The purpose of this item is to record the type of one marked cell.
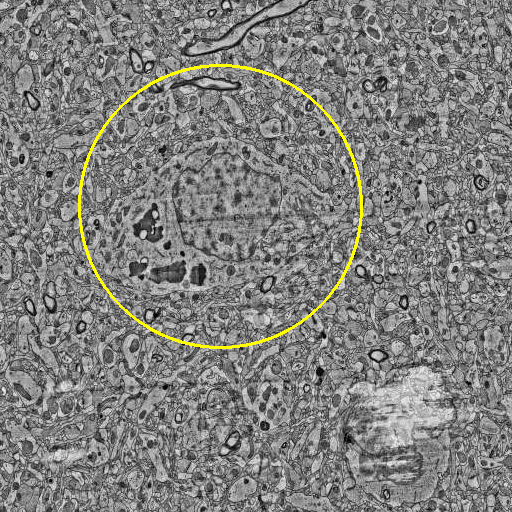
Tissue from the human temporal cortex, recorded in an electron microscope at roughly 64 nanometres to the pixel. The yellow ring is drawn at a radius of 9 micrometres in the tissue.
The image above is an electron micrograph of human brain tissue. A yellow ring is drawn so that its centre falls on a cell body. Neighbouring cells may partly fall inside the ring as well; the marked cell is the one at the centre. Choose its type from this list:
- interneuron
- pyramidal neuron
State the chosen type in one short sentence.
What the ring marks here is an interneuron.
